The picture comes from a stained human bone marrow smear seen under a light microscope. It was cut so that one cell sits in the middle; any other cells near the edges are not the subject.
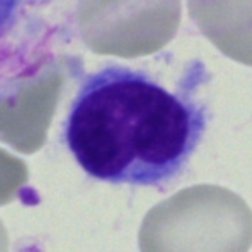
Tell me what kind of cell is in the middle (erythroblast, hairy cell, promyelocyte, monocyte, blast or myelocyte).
hairy cell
